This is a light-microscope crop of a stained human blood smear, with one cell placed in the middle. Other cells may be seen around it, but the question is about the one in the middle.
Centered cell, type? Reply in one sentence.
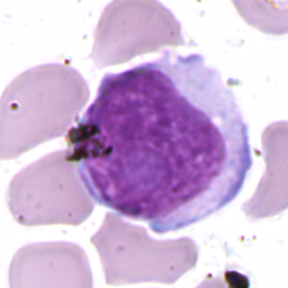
Of the cells in this crop, the central one is a plasma cell.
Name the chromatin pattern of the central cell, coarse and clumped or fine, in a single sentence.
The chromatin is fine throughout, without coarse clumps.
